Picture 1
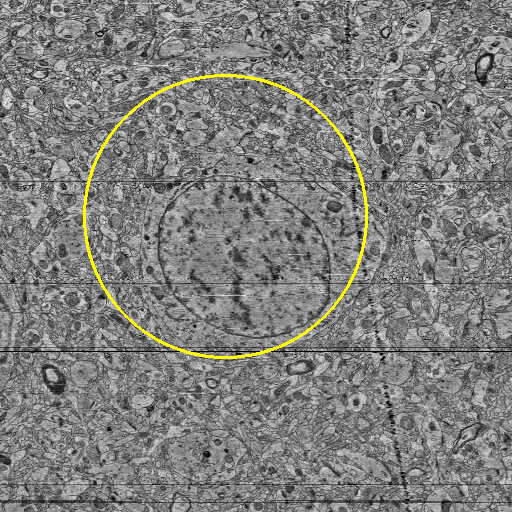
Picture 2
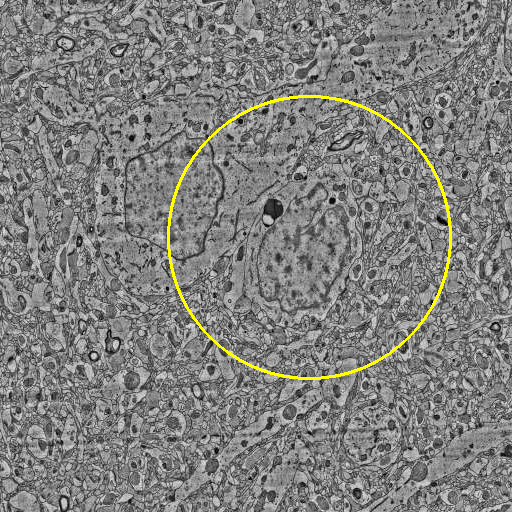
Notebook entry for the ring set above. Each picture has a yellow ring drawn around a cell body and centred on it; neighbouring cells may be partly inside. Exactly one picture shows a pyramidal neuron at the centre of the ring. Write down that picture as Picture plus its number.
Picture 1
